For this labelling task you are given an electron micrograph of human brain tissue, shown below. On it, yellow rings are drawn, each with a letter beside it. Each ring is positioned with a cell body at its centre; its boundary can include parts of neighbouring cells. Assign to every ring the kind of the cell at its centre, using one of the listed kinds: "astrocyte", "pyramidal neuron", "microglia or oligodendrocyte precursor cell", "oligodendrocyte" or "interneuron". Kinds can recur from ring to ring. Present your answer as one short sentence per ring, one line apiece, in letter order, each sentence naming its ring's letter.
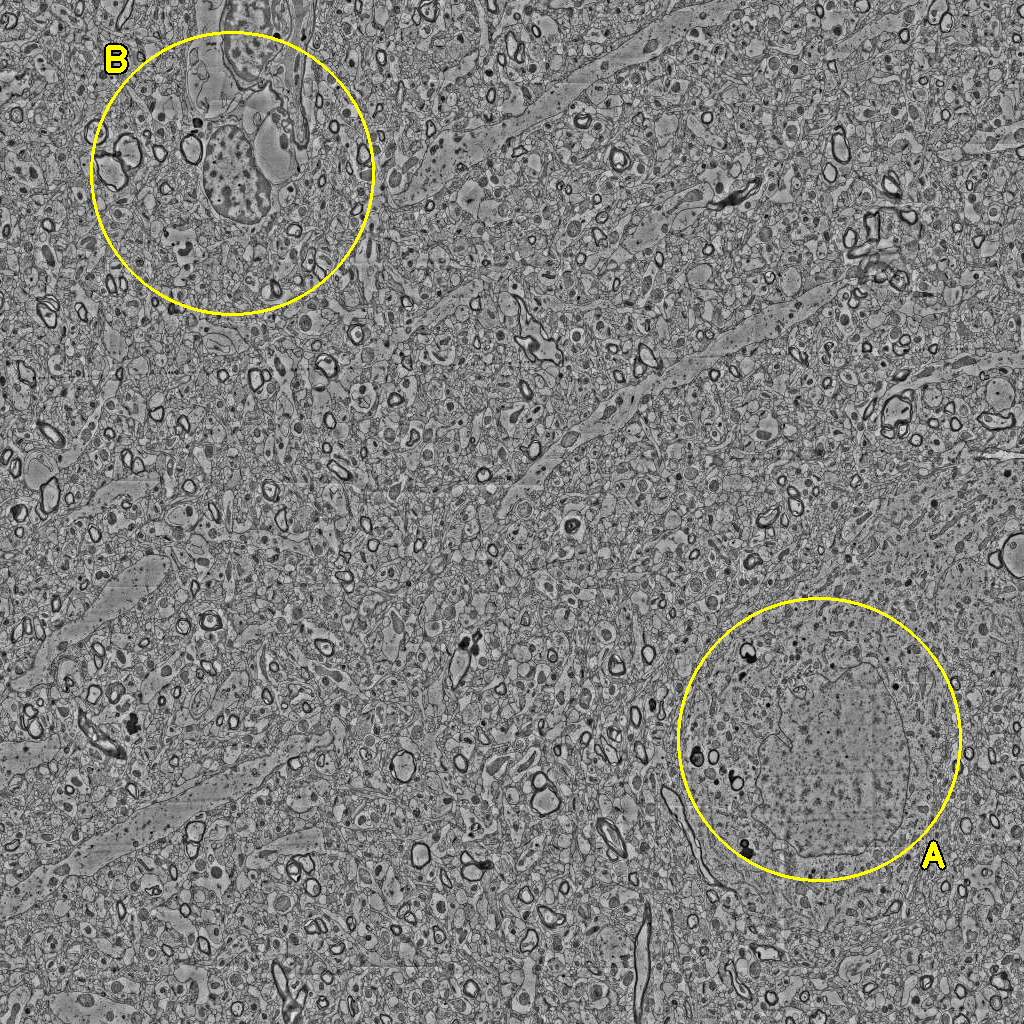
The cell in the middle of ring A is a pyramidal neuron.
The cell in the middle of ring B is a microglial cell or oligodendrocyte precursor cell.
